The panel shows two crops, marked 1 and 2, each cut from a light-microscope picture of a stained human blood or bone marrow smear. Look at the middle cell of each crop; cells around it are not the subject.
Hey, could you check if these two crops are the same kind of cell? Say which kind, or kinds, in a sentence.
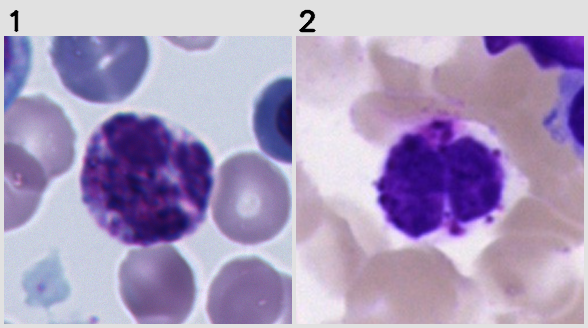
Yes, in both of the crops, the central cells are basophils.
